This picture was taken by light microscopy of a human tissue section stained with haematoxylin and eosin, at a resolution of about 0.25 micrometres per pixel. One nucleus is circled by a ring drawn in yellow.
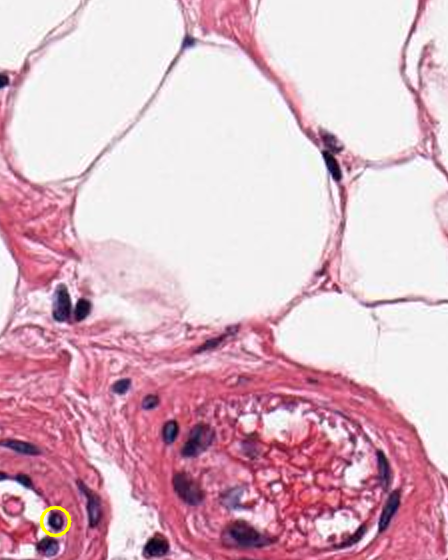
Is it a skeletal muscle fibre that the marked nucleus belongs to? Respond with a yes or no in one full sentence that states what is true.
No, the marked nucleus does not belong to a skeletal muscle fibre; it belongs to a supporting cell.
